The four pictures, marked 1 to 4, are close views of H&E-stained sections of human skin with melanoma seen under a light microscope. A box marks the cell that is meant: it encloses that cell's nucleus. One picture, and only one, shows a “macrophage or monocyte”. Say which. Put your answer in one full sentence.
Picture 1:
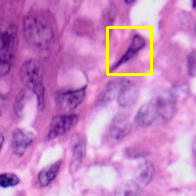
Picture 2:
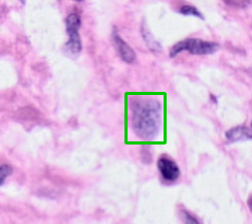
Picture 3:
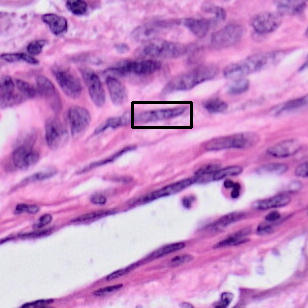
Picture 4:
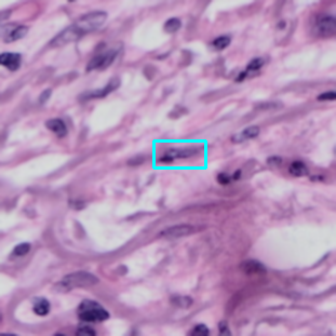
It is picture 1 that shows the “macrophage or monocyte”.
